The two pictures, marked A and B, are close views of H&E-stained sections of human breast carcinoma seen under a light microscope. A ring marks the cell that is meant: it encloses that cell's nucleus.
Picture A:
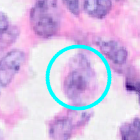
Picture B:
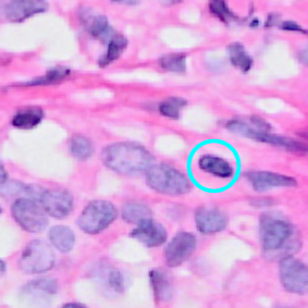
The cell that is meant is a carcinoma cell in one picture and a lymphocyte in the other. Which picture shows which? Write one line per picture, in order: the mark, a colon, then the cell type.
A: carcinoma cell
B: lymphocyte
